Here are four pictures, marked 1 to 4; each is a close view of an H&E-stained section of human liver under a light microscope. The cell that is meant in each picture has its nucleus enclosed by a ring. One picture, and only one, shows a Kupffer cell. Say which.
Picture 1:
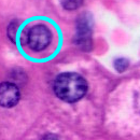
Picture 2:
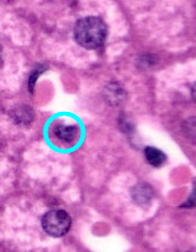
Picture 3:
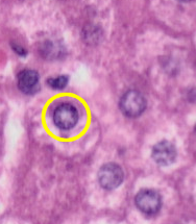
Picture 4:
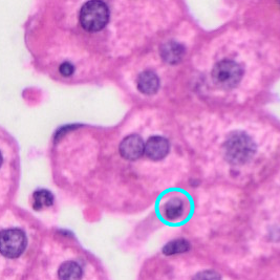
4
